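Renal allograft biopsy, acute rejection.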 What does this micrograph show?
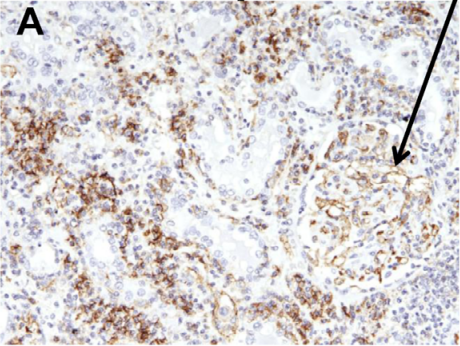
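Kidney cortex with a glomerulus at the right and scattered tubules, whose interstitium is heavily infiltrated by sheets of small round inflammatory cells with dark nuclei, many outlined by brown stain. The glomerular capillary loops and the peritubular capillaries are also lined with brown stain, while the tubular epithelial cells remain unstained with blue nuclei.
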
